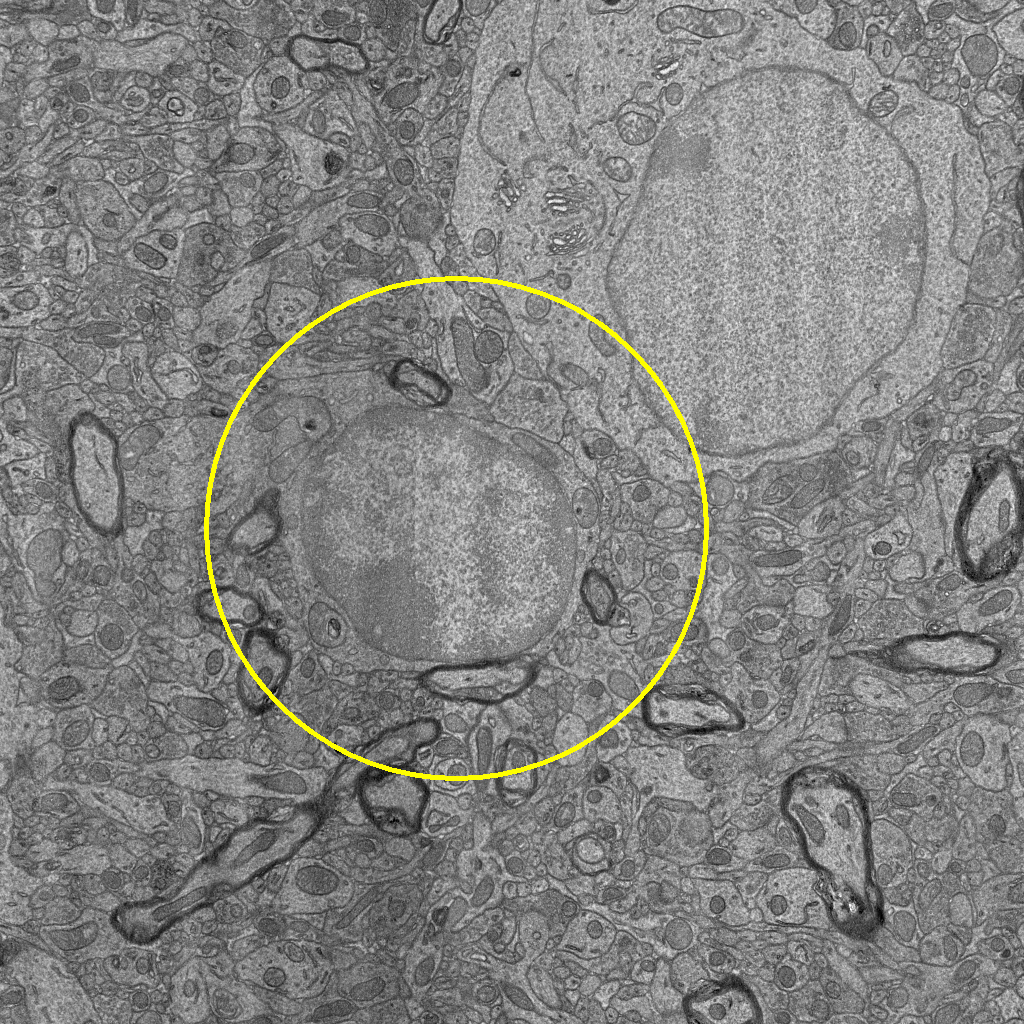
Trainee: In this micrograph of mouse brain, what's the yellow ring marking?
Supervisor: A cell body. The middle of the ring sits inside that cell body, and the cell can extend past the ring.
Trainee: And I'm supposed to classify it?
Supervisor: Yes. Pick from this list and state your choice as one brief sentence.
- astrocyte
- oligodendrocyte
The cell at the ring's center is an oligodendrocyte.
